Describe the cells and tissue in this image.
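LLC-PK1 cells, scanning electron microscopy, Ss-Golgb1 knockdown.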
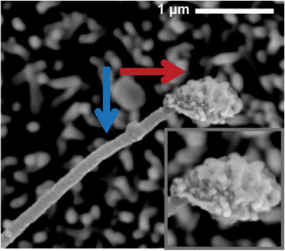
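A single primary cilium rises from the cell surface as a long, even, slender shaft. Its end is swollen into a broad knob with a rough, irregular surface, much wider than the shaft, shown enlarged in the inset. Small bumps of microvilli dot the dark surface around it.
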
